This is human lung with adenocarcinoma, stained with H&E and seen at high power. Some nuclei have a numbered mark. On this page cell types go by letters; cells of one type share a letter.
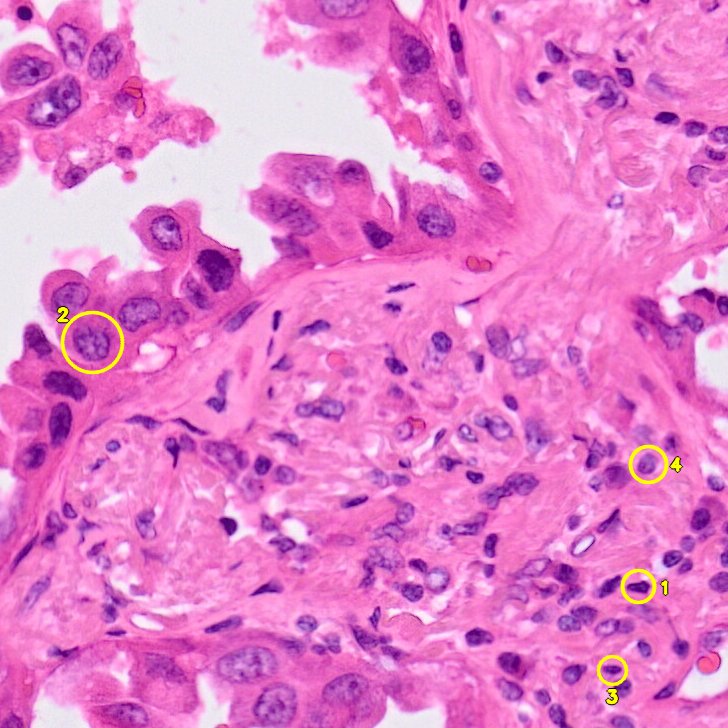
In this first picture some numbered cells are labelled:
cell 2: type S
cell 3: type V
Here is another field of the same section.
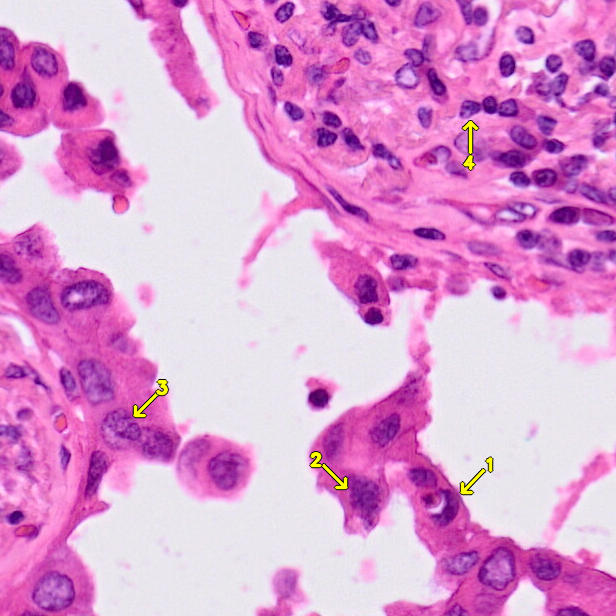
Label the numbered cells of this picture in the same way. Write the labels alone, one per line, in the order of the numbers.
type S
type S
type S
type V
